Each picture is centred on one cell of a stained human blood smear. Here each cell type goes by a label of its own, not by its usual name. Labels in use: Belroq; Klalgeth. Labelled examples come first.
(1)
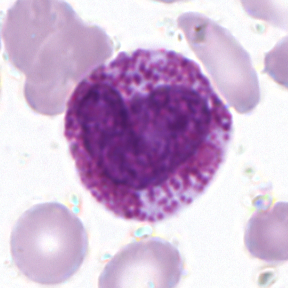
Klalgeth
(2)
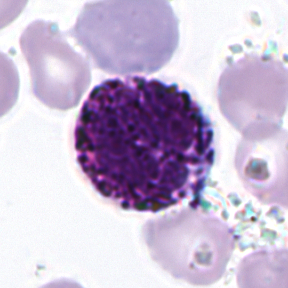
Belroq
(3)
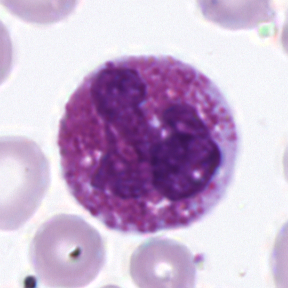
Klalgeth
